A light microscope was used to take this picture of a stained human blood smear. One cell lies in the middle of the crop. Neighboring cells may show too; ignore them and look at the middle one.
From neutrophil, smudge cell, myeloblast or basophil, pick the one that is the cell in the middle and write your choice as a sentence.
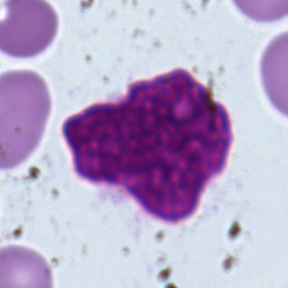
The cell in the middle of the field of view is a smudge cell.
